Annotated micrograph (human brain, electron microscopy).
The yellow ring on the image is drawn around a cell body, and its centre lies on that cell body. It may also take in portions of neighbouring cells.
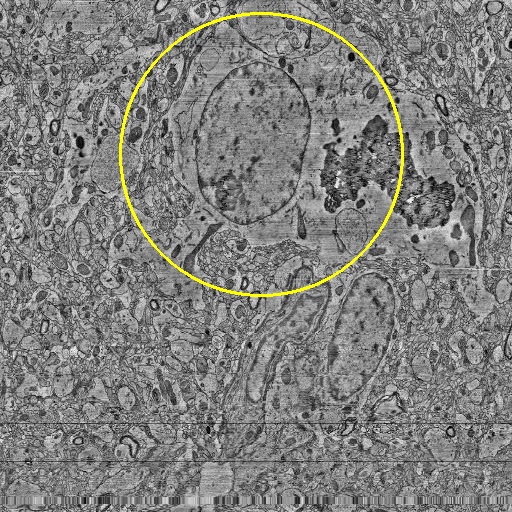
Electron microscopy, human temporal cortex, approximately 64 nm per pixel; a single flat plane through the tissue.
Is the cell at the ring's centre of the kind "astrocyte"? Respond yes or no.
Yes, it is of the named kind.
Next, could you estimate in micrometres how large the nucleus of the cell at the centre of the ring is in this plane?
About 11 by 7 micrometers, in this plane.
